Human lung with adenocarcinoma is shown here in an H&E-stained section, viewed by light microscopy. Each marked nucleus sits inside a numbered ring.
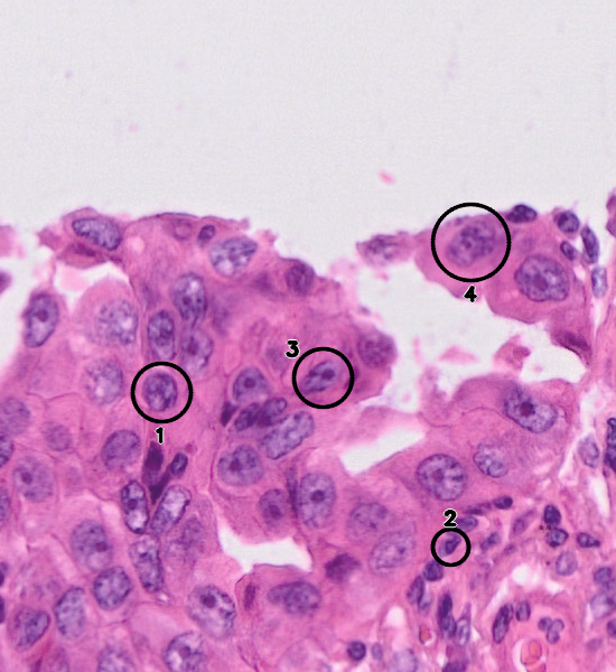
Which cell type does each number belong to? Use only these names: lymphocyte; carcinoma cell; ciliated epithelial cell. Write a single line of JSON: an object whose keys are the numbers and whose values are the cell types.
{"1": "carcinoma cell", "2": "lymphocyte", "3": "carcinoma cell", "4": "carcinoma cell"}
